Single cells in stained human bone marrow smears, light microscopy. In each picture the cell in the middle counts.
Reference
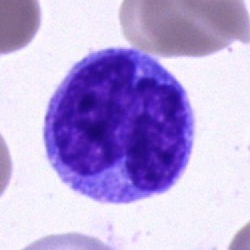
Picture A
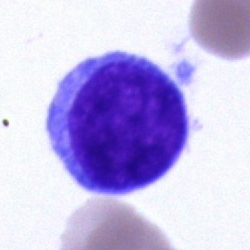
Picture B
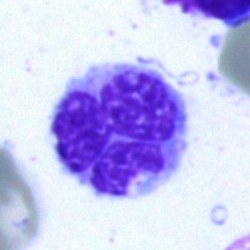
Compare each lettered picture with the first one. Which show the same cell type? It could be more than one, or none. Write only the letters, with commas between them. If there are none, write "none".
B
